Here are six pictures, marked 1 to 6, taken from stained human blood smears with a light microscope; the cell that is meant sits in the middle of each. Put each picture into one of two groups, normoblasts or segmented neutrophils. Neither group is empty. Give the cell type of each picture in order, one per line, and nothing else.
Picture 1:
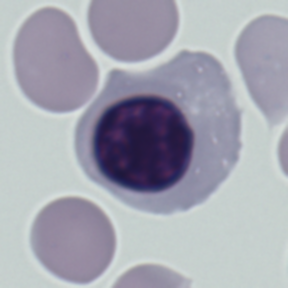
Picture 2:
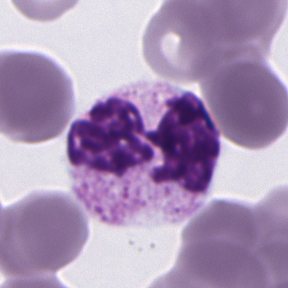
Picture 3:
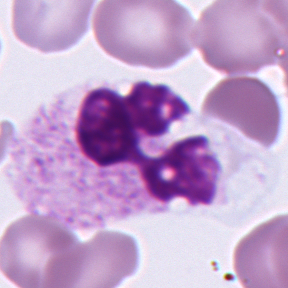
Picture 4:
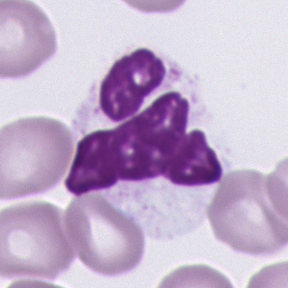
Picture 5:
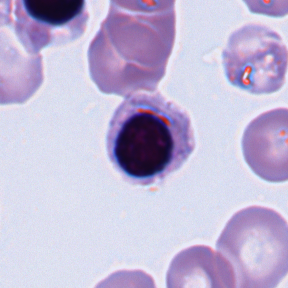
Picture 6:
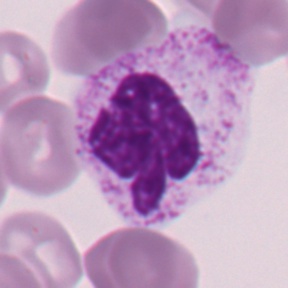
normoblast
segmented neutrophil
segmented neutrophil
segmented neutrophil
normoblast
segmented neutrophil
